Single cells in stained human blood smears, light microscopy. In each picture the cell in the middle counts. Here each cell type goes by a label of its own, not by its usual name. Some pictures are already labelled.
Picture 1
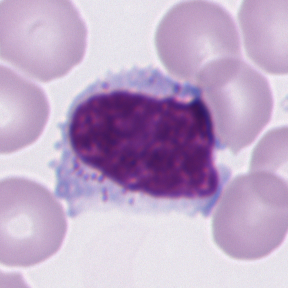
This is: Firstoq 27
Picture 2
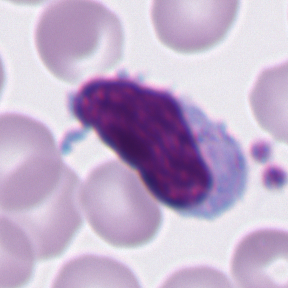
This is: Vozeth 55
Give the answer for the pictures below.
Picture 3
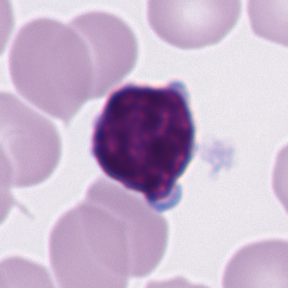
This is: Vozeth 55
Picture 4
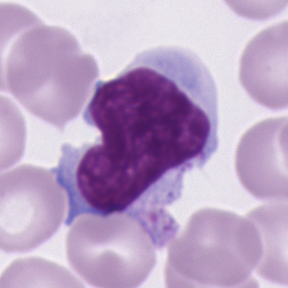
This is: Firstoq 27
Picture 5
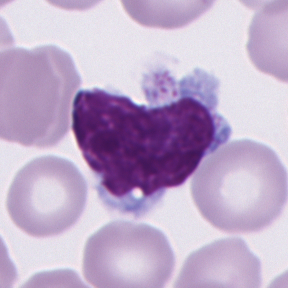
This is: Vozeth 55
